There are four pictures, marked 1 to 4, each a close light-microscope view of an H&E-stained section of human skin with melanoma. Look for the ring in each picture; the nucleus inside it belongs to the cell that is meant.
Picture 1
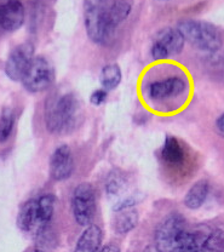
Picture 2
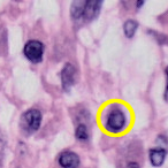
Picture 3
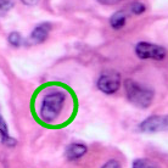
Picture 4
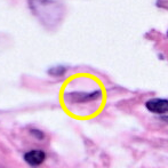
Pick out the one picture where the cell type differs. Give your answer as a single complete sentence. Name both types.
The others show “macrophages or monocytes”, but picture 4 shows a “fibroblast or myofibroblast”.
